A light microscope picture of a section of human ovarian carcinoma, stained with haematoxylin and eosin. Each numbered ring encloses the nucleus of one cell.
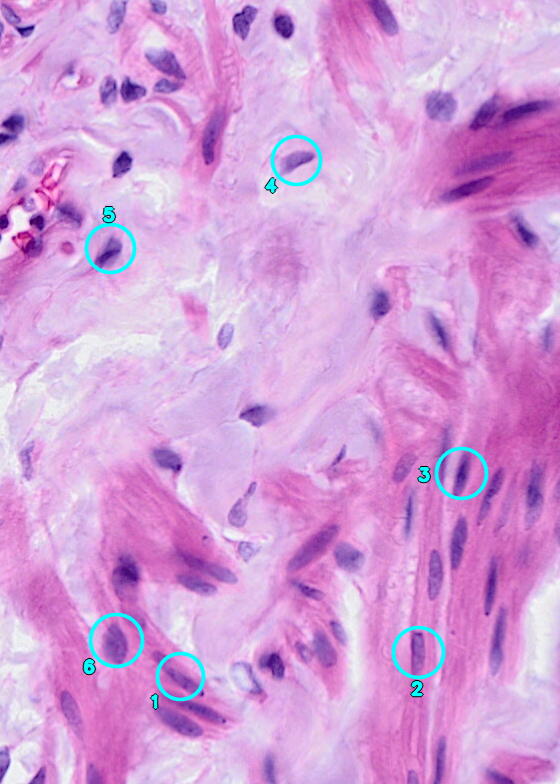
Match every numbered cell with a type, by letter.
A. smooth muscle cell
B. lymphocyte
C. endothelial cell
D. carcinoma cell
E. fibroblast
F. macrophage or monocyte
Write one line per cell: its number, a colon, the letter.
1: A
2: A
3: A
4: E
5: E
6: A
